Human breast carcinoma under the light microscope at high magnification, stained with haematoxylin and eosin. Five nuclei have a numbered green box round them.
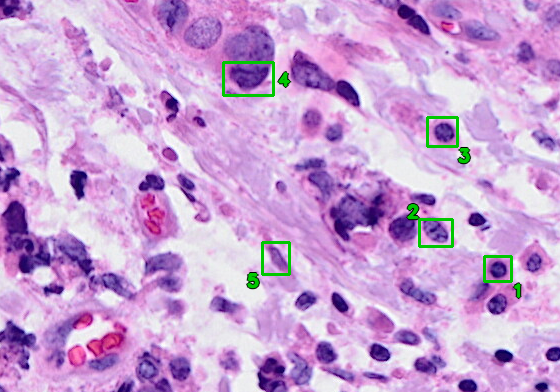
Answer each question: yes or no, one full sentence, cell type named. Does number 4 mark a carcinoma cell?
Yes, the cell bearing the number 4 is a carcinoma cell.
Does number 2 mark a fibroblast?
No, the correct answer for cell 2 is a mast cell, not a fibroblast.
